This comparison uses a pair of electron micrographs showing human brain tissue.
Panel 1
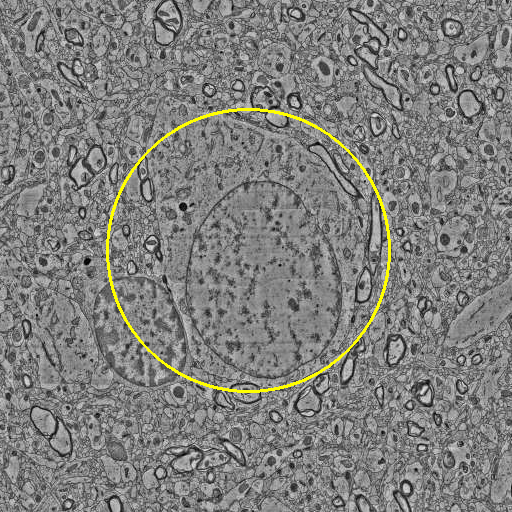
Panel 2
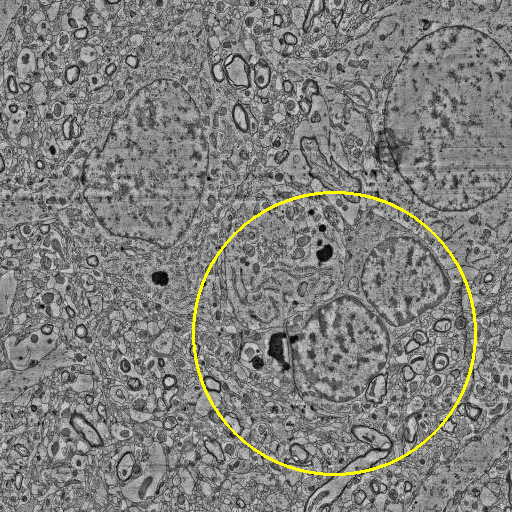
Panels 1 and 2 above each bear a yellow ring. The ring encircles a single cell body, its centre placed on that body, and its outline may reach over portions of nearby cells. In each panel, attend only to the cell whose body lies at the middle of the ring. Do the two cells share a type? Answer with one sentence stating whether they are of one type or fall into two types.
In Panel 1 and Panel 2, the cells at the centres of the rings fall into two types.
